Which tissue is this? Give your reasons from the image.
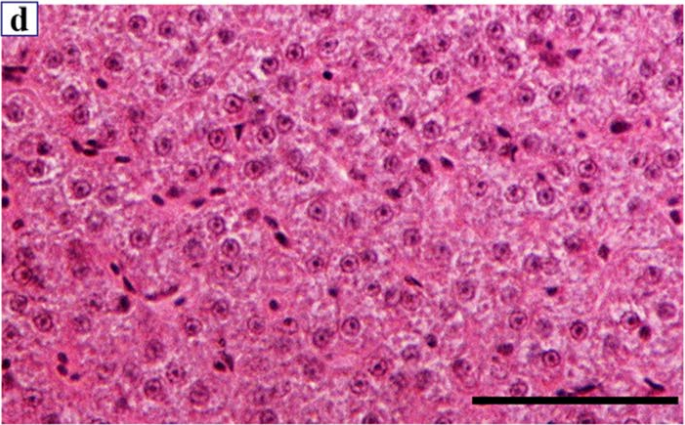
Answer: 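Closely packed polygonal cells with round central nuclei and distinct nucleoli. Cells lie in cords with small elongated dark nuclei between them. That points to this answer: liver.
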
